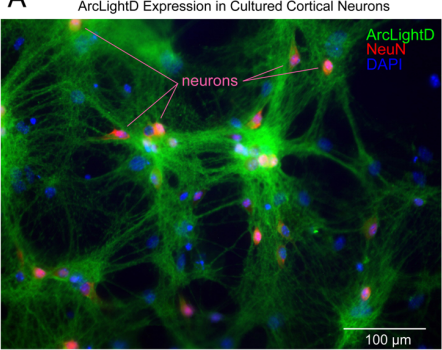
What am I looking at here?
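The green fills the cell bodies and a dense, tangled meshwork of fine branching processes that runs across the whole field and links the scattered clusters of cells. Some cell bodies carry nuclei that glow red or pinkish, and these rounded bodies sit at the hubs of the green meshwork. The cells are not arranged in layers but lie scattered, some alone, some in small groups.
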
